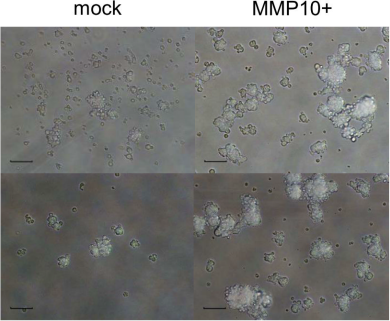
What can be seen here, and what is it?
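Cultured cells in suspension form spheres: rounded, compact, refractile clusters of many tightly packed cells, lying among scattered single small round cells. The clusters vary in size, from small groups of a few cells to large, lumpy, multilayered aggregates.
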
